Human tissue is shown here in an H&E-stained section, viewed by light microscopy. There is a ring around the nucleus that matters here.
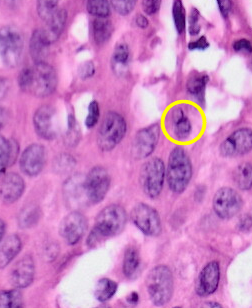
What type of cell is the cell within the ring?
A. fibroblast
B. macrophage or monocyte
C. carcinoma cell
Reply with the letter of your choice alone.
B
